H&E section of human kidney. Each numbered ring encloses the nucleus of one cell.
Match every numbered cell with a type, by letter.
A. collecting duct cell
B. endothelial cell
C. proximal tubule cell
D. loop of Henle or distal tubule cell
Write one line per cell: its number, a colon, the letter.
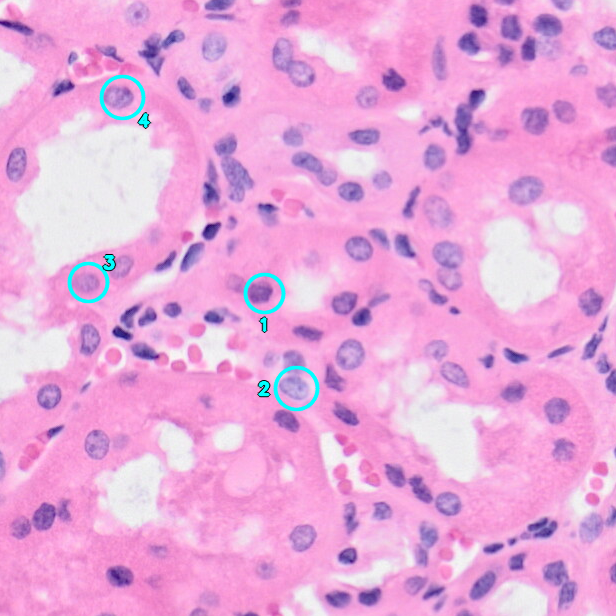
1: C
2: A
3: C
4: C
